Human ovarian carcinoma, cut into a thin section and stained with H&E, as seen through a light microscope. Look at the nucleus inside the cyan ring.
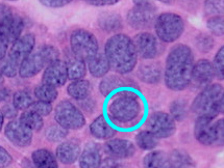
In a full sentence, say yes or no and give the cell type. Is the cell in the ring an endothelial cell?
No, just to correct that, the cell in the ring is a carcinoma cell and not an endothelial cell.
